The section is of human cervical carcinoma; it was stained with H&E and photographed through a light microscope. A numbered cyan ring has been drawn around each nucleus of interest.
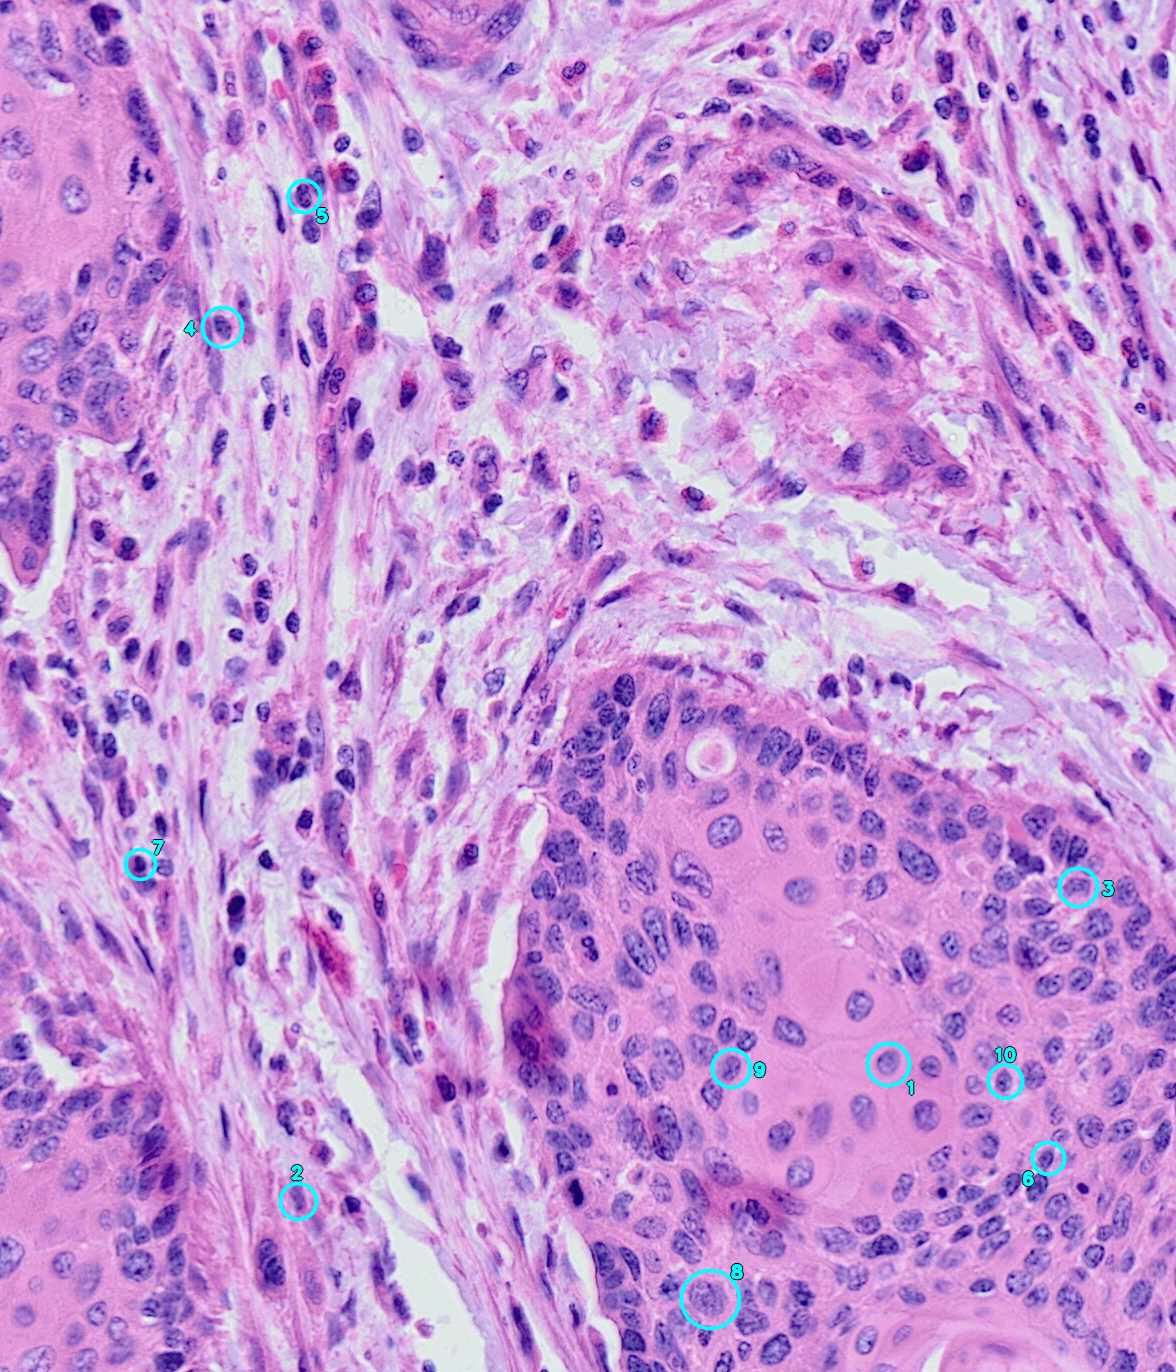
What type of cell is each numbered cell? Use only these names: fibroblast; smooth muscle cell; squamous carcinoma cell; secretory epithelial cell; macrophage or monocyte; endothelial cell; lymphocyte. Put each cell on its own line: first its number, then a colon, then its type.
1: squamous carcinoma cell
2: fibroblast
3: squamous carcinoma cell
4: lymphocyte
5: lymphocyte
6: squamous carcinoma cell
7: lymphocyte
8: squamous carcinoma cell
9: squamous carcinoma cell
10: squamous carcinoma cell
